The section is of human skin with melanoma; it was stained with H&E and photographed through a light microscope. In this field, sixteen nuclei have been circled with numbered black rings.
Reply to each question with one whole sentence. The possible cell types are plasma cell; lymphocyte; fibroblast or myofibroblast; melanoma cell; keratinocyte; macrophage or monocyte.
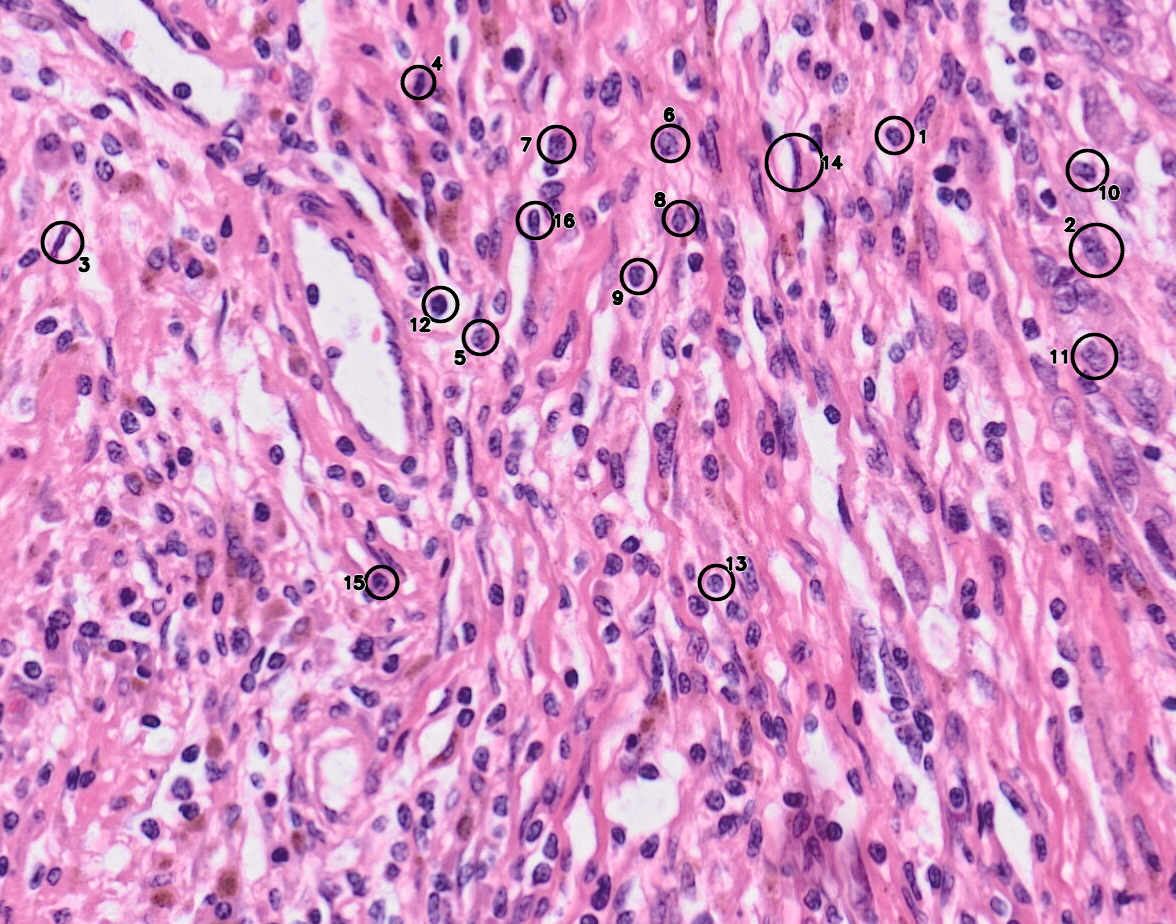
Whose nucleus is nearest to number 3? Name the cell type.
It is a lymphocyte whose nucleus is nearest to number 3.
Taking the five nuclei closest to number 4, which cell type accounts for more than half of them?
Macrophages or monocytes make up most of the five nuclei closest to number 4.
